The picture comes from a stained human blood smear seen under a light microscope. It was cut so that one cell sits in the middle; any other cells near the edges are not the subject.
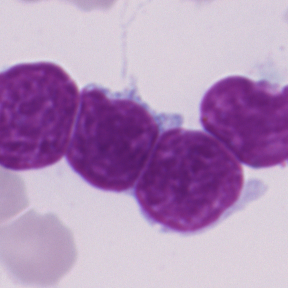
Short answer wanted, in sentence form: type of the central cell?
The centrally placed cell is classified as a myeloblast.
